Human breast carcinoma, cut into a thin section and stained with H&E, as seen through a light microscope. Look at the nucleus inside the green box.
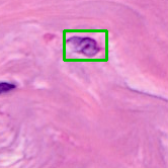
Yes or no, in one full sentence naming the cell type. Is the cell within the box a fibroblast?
Yes, to name the cell within the box a fibroblast is correct.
